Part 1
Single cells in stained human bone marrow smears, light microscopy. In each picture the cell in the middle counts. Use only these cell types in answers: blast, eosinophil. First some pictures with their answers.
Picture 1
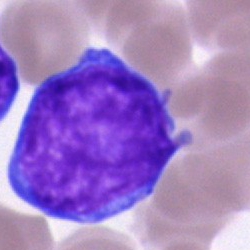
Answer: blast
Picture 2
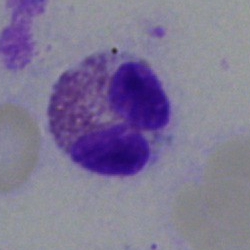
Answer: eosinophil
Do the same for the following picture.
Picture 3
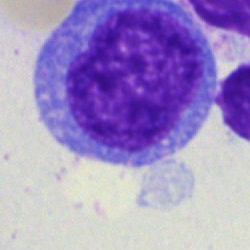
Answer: blast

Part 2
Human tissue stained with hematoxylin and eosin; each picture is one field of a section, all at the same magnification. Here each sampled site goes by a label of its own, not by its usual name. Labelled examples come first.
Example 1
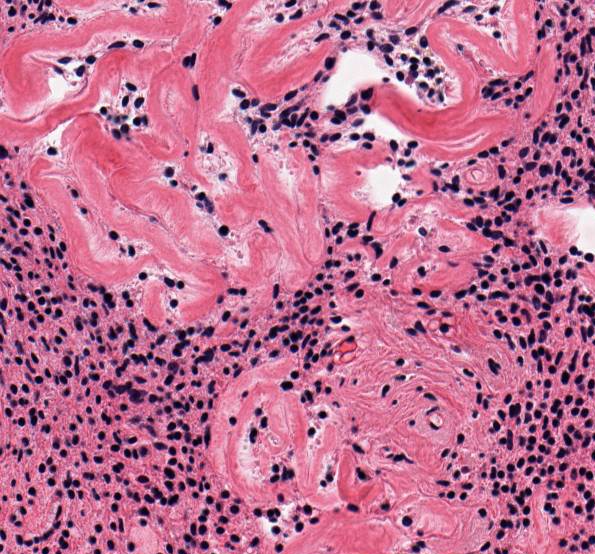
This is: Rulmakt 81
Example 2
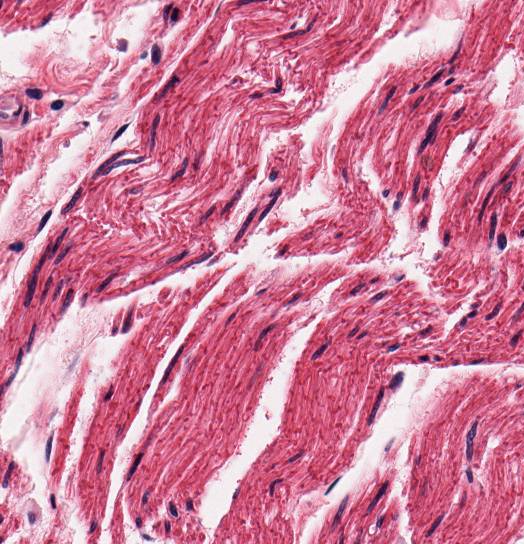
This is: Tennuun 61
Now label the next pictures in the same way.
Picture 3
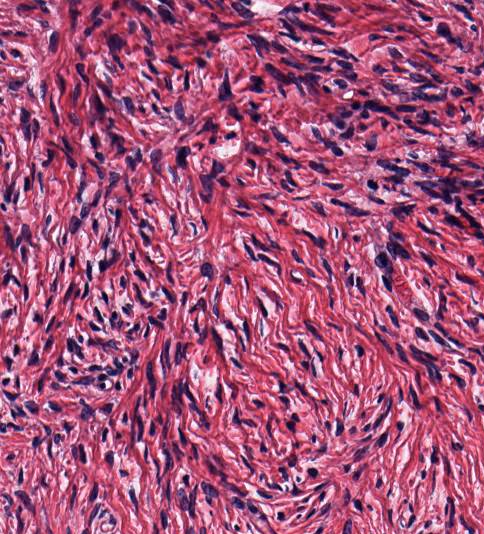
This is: Rulmakt 81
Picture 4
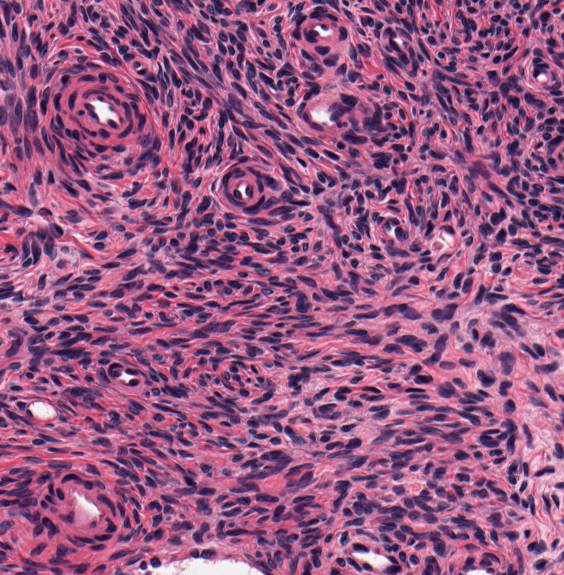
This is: Rulmakt 81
